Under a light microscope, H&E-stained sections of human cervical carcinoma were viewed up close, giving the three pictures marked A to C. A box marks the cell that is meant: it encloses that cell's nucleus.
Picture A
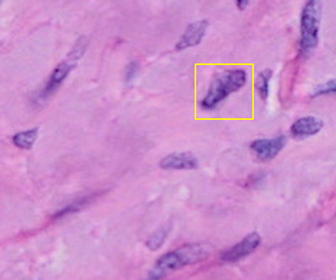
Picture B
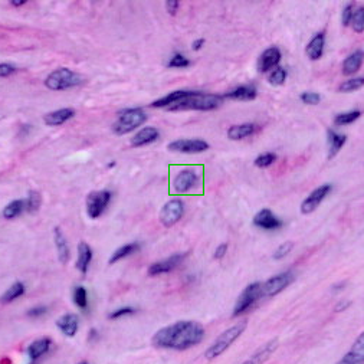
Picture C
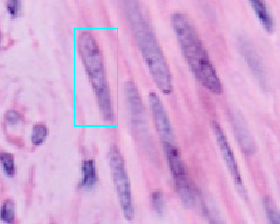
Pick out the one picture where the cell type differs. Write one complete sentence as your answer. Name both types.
The others show smooth muscle cells, but picture A shows a fibroblast.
